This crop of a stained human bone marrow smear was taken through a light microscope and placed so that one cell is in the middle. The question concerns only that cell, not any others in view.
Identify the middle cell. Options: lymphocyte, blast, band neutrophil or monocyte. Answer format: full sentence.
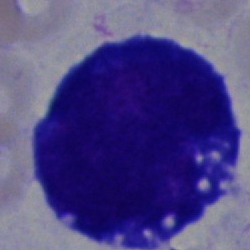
Located at the centre of the crop is a blast.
